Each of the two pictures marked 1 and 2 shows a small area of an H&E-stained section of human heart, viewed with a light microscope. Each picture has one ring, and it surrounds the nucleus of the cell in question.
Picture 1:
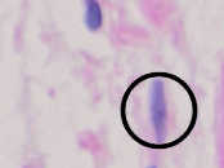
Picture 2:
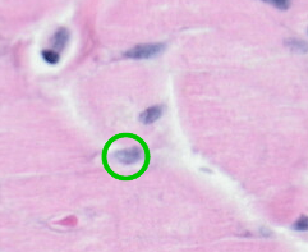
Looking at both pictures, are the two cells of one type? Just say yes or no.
yes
